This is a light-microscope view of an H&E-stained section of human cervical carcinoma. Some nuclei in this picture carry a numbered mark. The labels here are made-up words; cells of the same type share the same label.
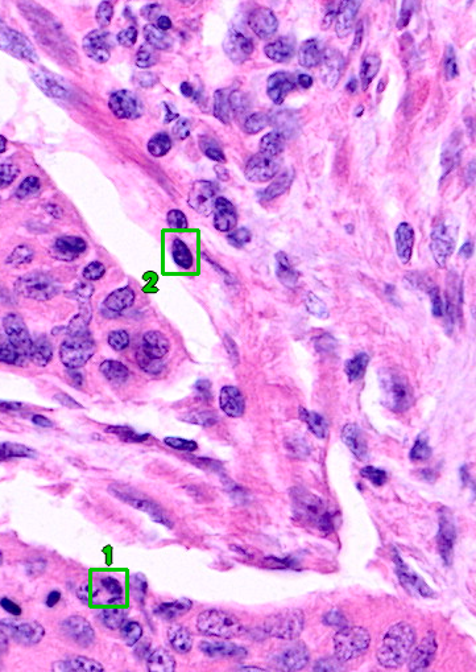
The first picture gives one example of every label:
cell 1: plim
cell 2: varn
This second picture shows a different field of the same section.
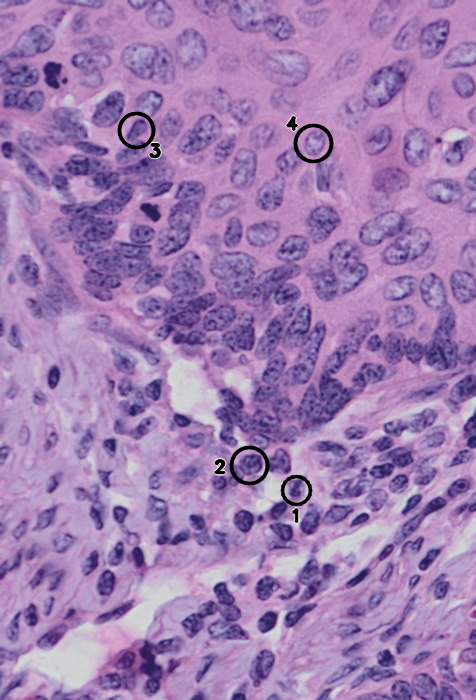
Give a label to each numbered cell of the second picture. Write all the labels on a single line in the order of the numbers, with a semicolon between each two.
varn; varn; plim; plim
